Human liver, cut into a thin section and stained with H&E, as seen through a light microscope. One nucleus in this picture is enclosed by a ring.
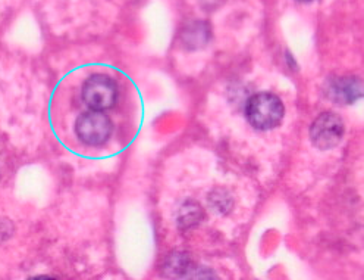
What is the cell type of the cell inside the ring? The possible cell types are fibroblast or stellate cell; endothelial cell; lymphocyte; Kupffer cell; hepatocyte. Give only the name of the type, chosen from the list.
hepatocyte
